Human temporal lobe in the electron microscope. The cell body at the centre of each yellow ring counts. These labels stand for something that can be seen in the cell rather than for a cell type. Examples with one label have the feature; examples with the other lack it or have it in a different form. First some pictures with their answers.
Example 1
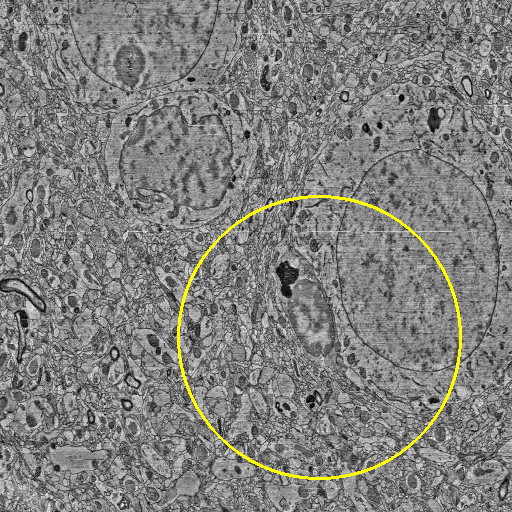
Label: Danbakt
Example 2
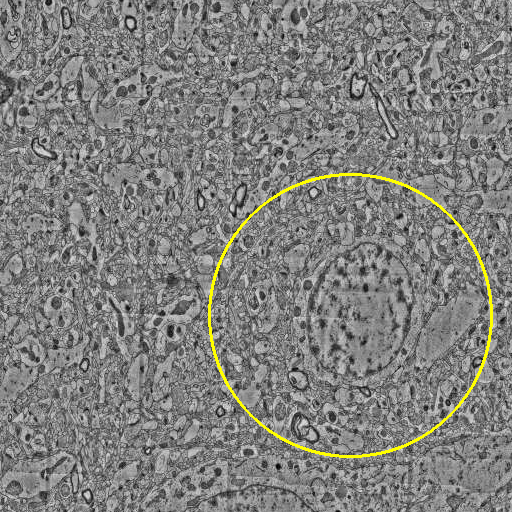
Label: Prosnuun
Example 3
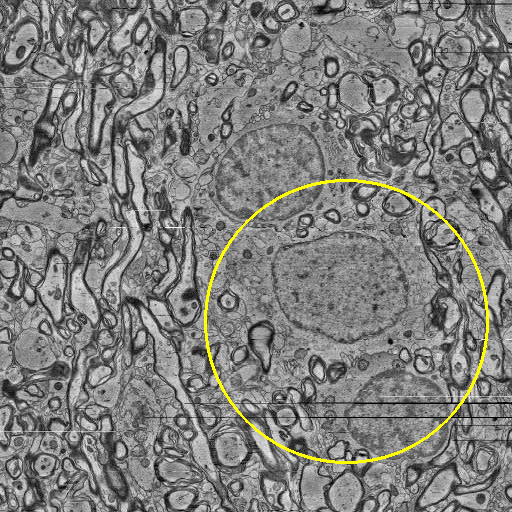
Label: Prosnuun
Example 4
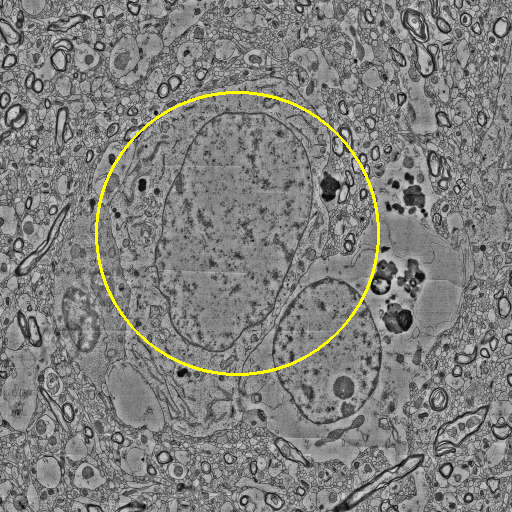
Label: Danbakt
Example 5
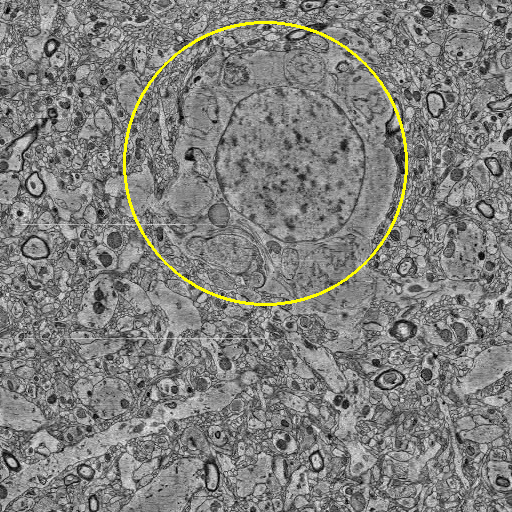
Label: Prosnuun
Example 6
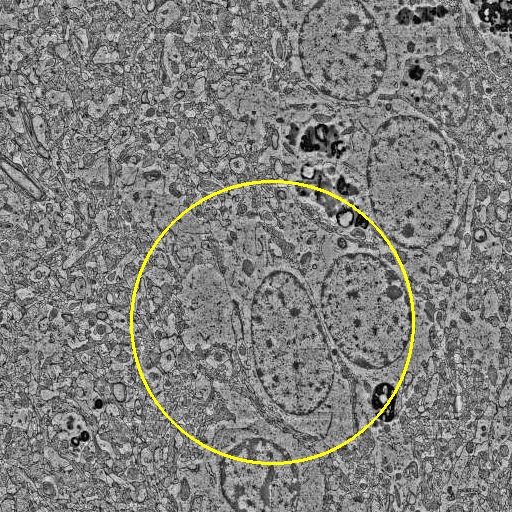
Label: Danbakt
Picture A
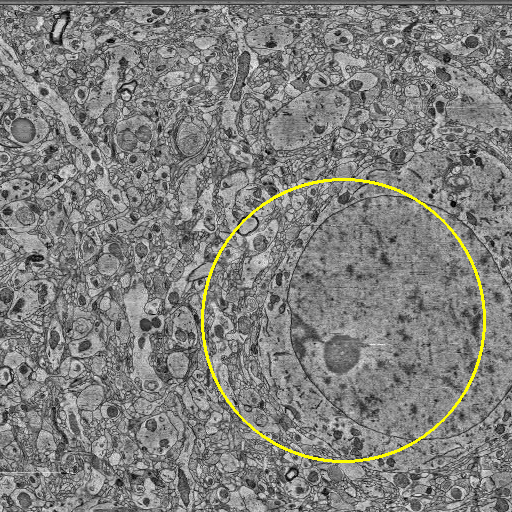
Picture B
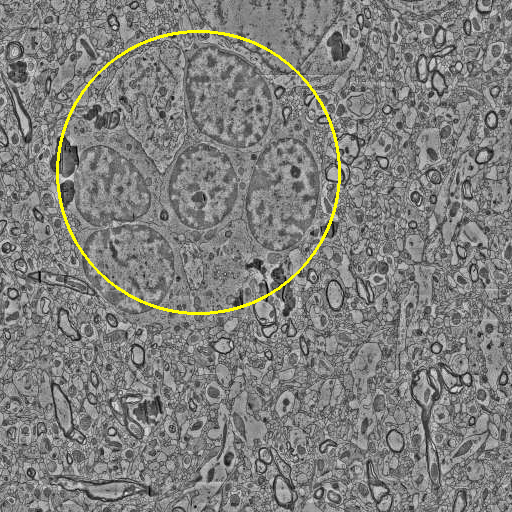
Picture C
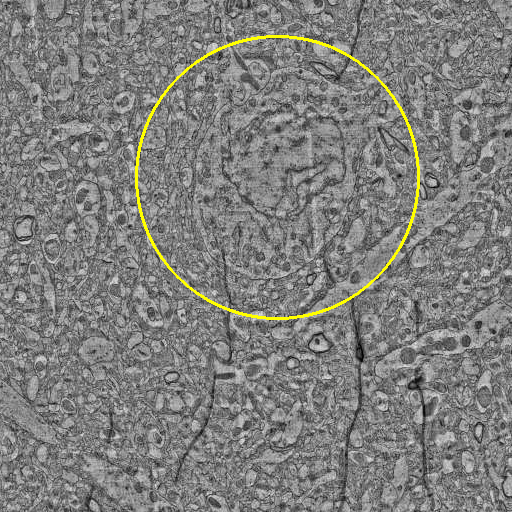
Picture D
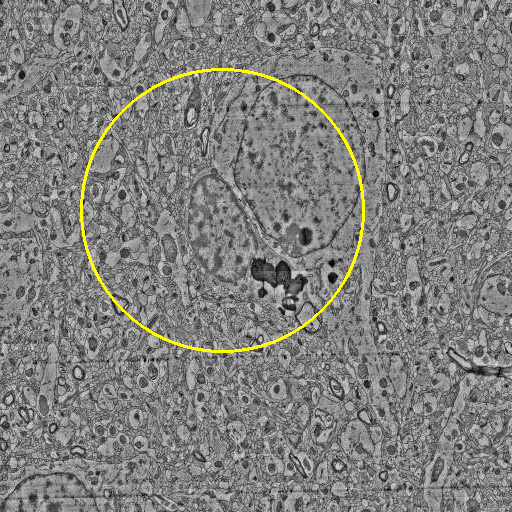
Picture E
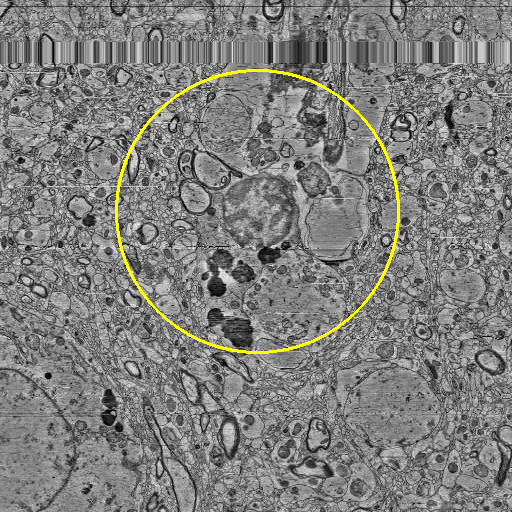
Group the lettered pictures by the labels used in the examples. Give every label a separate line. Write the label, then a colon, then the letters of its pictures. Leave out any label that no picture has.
Danbakt: D
Prosnuun: A, B, C, E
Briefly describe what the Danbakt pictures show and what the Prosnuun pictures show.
Seen in Danbakt: clearly elongated nuclei; seen in Prosnuun: round or nearly round nuclei.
